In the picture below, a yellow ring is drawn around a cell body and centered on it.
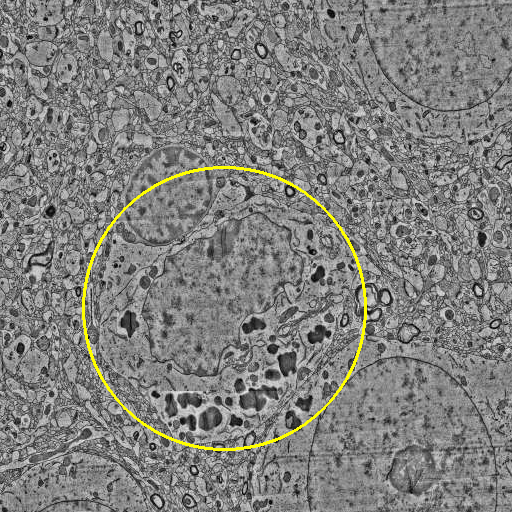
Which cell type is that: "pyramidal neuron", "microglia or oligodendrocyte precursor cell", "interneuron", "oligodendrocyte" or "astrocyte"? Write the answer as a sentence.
The cell centered in the ring is an interneuron.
